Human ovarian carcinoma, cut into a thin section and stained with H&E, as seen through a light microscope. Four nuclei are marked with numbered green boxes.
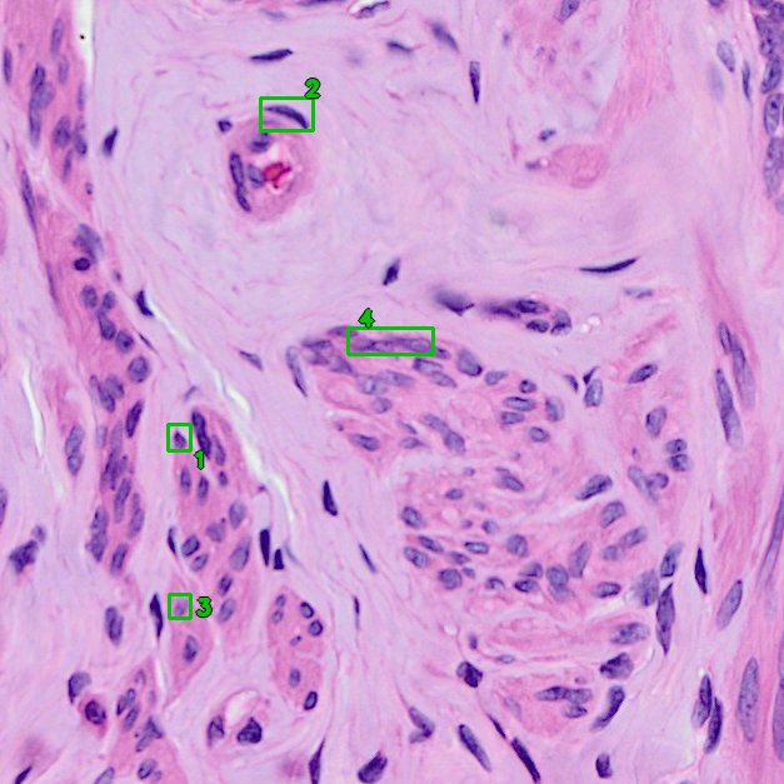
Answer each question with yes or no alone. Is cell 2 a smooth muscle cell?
no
